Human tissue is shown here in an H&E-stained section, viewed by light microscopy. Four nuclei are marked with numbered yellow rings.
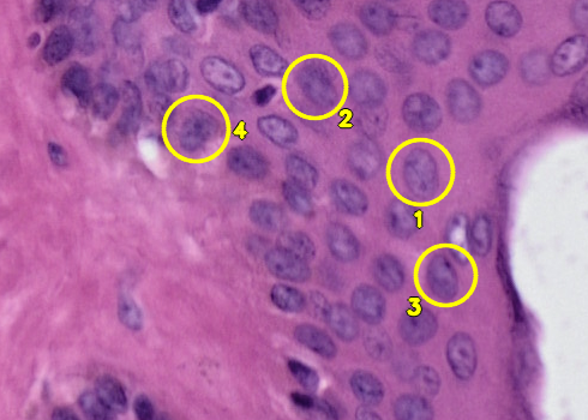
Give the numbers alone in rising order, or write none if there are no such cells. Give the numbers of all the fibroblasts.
none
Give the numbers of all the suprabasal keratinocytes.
1, 2, 3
